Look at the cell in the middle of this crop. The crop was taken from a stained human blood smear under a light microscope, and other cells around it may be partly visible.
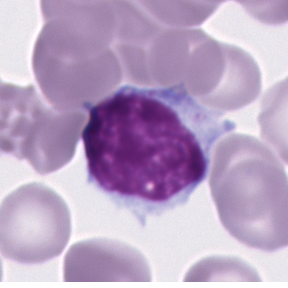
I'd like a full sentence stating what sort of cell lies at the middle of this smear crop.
For this crop, the cell in the middle is a typical lymphocyte.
